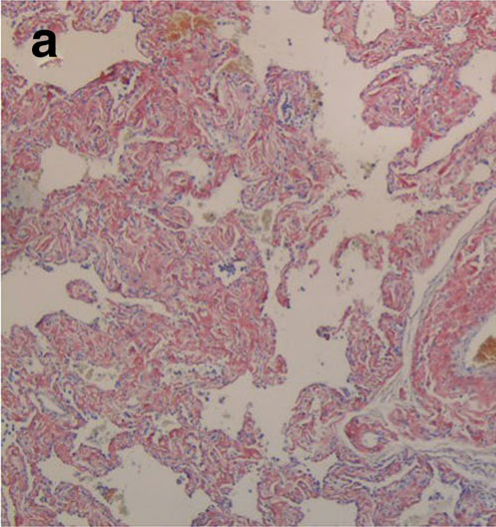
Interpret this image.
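Lung tissue in which the alveolar walls are markedly thickened by pale pink-red, homogeneous, amorphous material consistent with amyloid. The airspaces remain as irregular white spaces between the broadened septa, and some contain scattered brownish material. Right of centre lies a vessel whose wall is widely expanded by the same red amorphous material, with a narrow lumen holding orange-brown contents.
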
